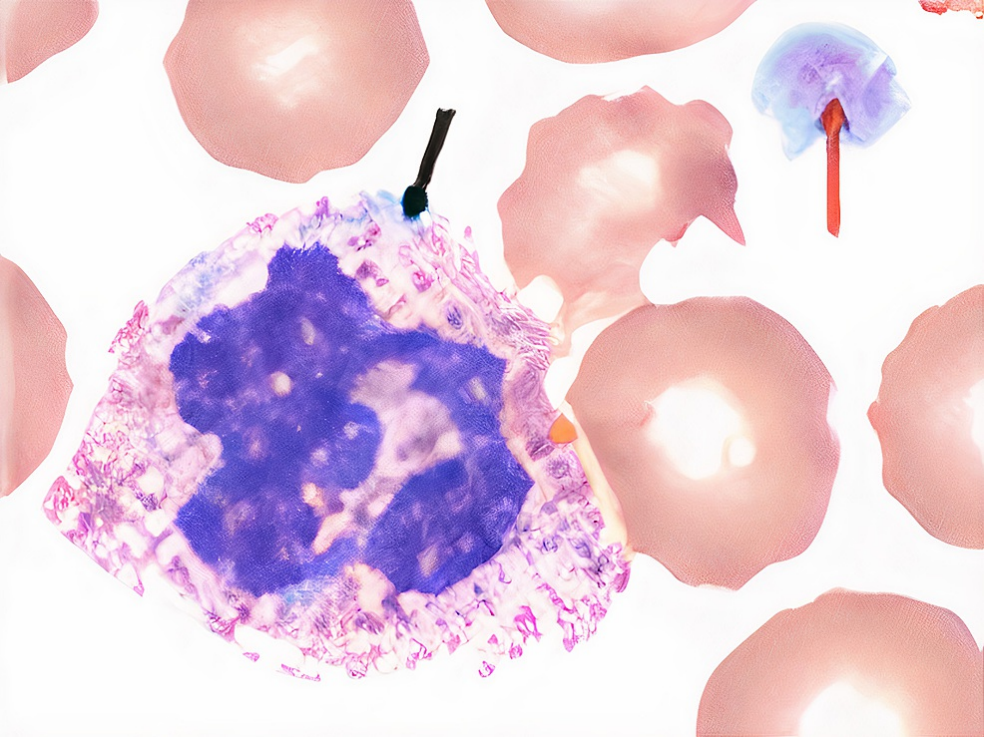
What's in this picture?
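Peripheral blood smear with one large granulocyte, a large platelet and red cells. The granulocyte has a dark violet, lobed, clumped nucleus. Its cytoplasm is broad and filled with fine pink to violet granules. At its upper margin lies a small pale gray-blue patch without granules. Nearby are round, pink, anucleate red cells with central pallor, one with a spiky, irregular outline. Toward the upper right lies a platelet, much larger than usual and about half a red cell across. It is pale blue with purple granules and has no nucleus.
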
